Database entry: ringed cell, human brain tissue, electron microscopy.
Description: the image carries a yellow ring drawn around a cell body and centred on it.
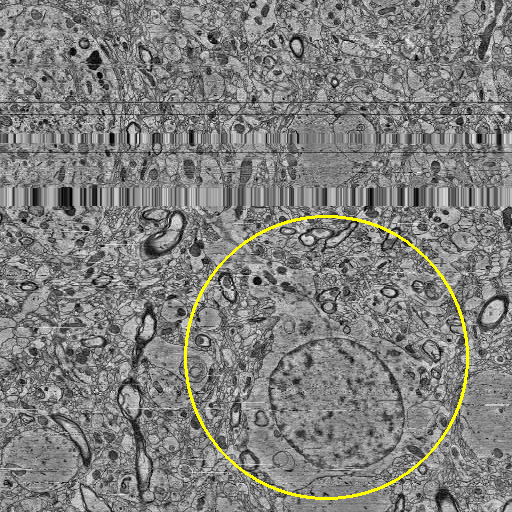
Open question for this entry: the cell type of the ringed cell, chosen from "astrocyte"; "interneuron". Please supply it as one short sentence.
The ringed cell is an astrocyte.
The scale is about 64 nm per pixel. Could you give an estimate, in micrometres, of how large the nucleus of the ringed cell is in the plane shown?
The nucleus comes to roughly 9 micrometres across in this plane.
